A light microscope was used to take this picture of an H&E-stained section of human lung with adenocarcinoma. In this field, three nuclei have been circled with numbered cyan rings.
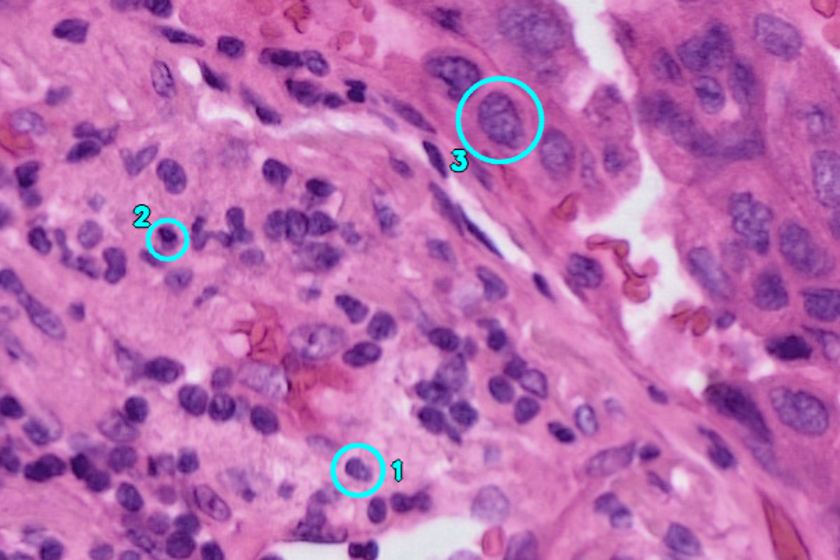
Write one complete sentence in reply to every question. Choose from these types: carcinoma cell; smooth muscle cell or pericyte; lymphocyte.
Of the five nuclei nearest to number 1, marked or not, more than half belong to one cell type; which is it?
The majority of the five nuclei closest to number 1 belong to lymphocytes.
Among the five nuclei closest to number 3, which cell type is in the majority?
Most of the five nuclei nearest to number 3 are those of carcinoma cells.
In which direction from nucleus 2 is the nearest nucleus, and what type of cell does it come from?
A lymphocyte lies closest, below and to the left of nucleus 2.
